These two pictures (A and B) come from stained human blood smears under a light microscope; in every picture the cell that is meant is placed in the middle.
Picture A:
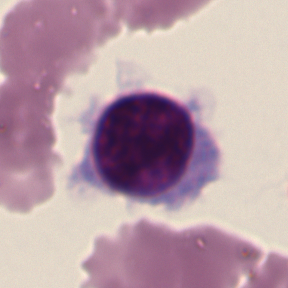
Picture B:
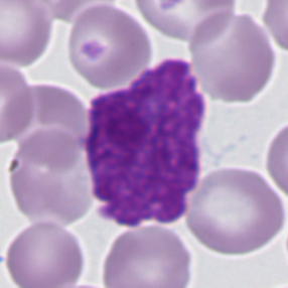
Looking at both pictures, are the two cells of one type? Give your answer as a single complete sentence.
No, the types are not the same, since picture A shows a hairy cell and picture B a smudge cell.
